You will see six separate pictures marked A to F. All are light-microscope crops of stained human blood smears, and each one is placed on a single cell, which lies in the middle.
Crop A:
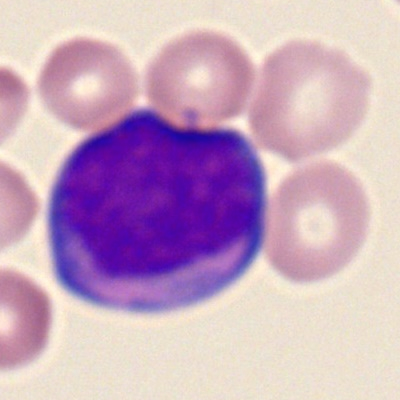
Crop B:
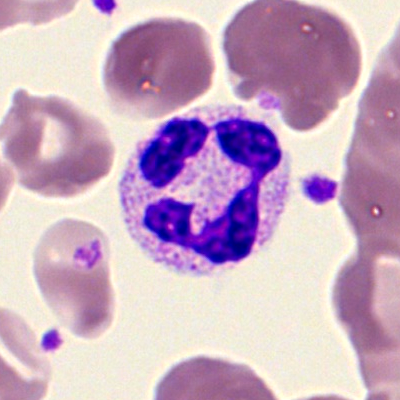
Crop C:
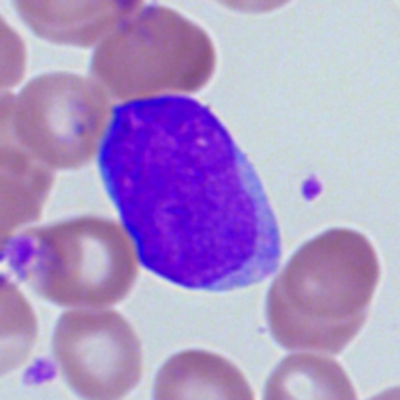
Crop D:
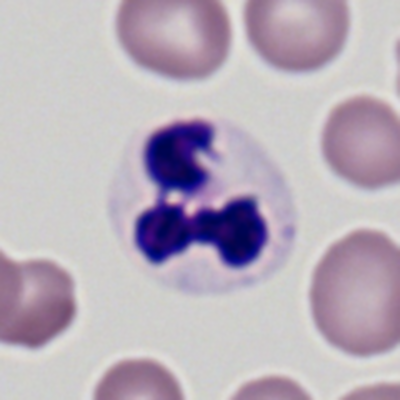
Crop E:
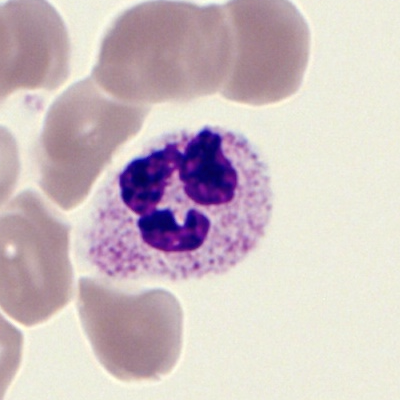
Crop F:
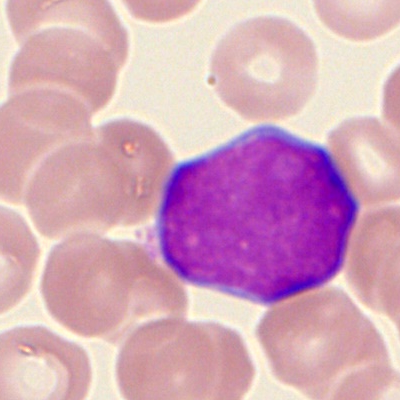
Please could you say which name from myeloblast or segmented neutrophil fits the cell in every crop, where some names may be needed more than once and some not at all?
A: myeloblast
B: segmented neutrophil
C: myeloblast
D: segmented neutrophil
E: segmented neutrophil
F: myeloblast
